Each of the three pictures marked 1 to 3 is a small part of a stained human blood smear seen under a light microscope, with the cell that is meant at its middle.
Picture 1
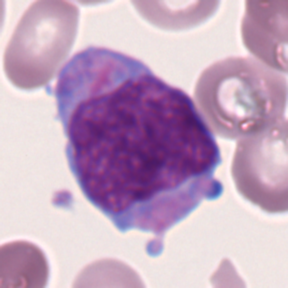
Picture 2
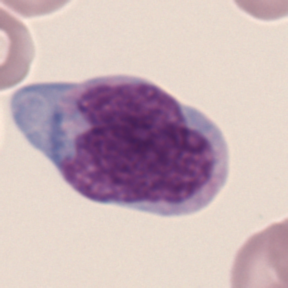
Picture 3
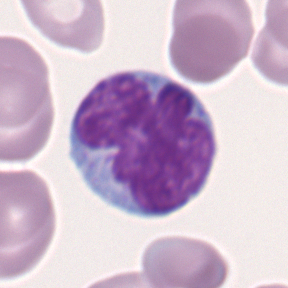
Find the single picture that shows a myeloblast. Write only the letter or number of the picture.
3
